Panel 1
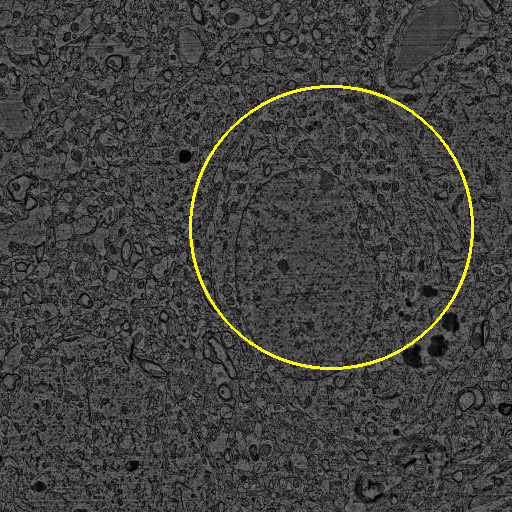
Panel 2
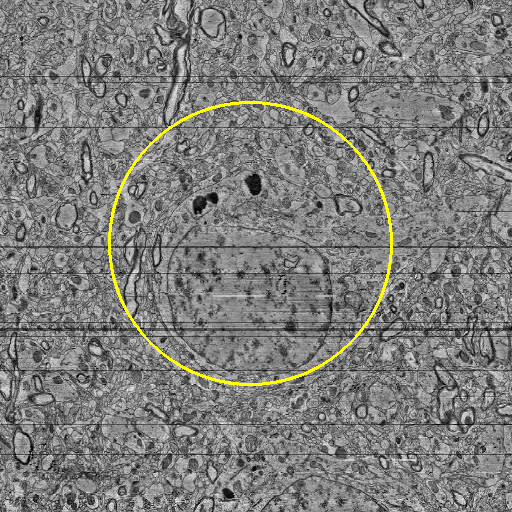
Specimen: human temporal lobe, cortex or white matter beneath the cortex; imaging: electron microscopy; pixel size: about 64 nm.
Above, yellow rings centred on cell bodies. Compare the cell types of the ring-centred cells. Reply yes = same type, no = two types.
no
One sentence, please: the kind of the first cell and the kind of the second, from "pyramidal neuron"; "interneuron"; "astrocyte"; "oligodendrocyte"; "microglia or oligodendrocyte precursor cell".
The ring in the first picture surrounds an interneuron, and the ring in the second surrounds a pyramidal neuron.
